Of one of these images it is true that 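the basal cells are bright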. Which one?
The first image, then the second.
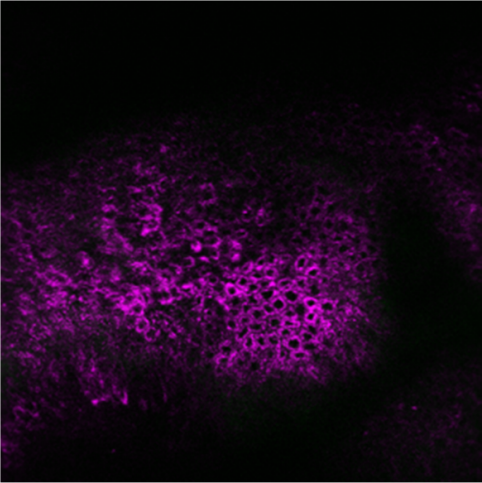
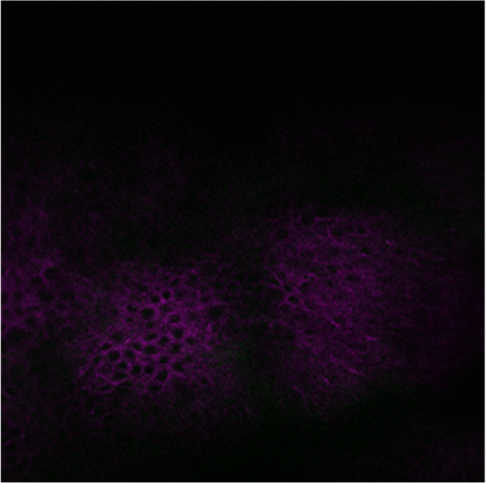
The first image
